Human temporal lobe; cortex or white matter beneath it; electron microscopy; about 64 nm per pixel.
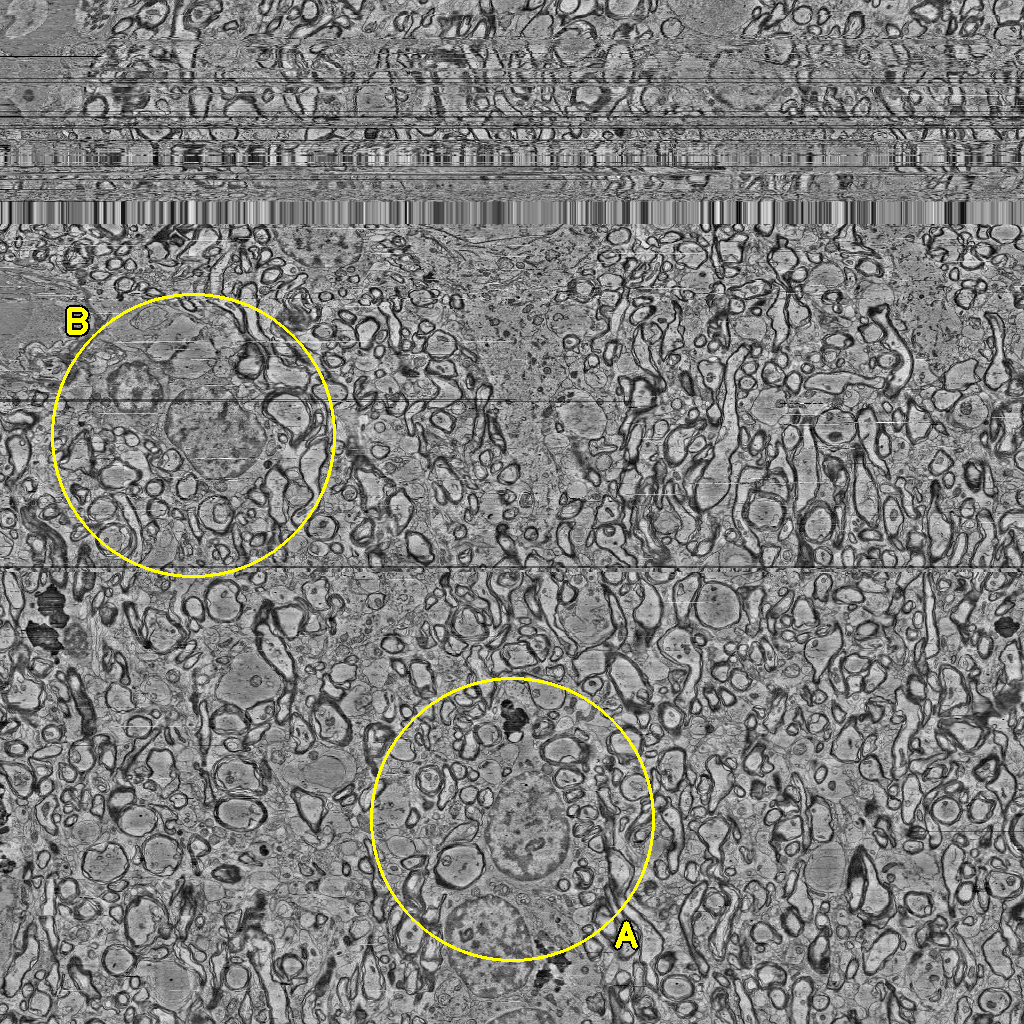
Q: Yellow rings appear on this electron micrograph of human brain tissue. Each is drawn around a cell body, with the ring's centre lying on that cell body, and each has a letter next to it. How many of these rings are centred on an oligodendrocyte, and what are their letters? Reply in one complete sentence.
The micrograph contains two rings each centred on an oligodendrocyte, lettered A and B.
